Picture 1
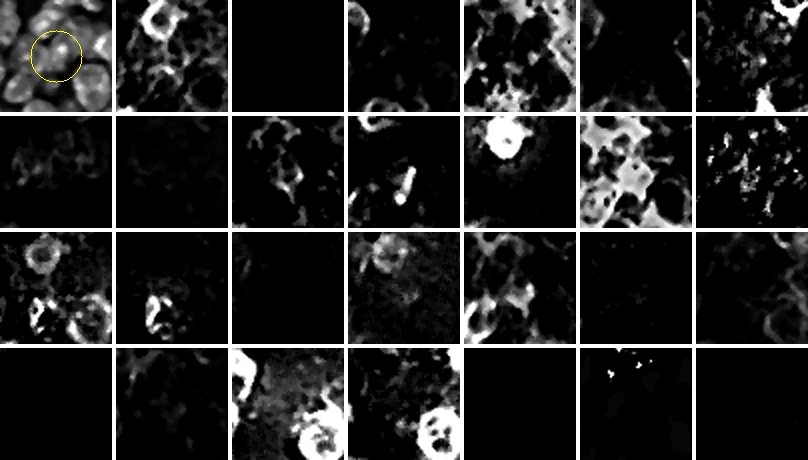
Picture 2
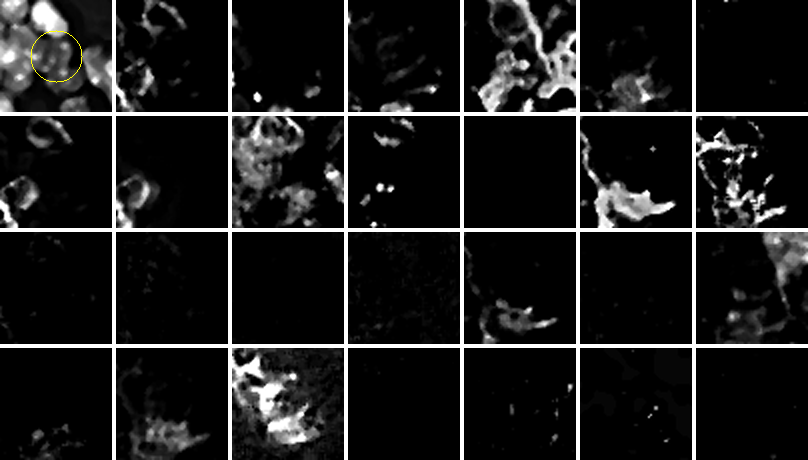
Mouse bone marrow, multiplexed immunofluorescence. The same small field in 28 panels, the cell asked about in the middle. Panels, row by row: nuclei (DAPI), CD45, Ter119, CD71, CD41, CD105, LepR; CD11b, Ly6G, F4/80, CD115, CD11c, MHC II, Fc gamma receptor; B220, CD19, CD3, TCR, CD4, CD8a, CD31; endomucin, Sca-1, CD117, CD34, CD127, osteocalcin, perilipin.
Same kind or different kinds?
Same: megakaryocyte-erythroid progenitors.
